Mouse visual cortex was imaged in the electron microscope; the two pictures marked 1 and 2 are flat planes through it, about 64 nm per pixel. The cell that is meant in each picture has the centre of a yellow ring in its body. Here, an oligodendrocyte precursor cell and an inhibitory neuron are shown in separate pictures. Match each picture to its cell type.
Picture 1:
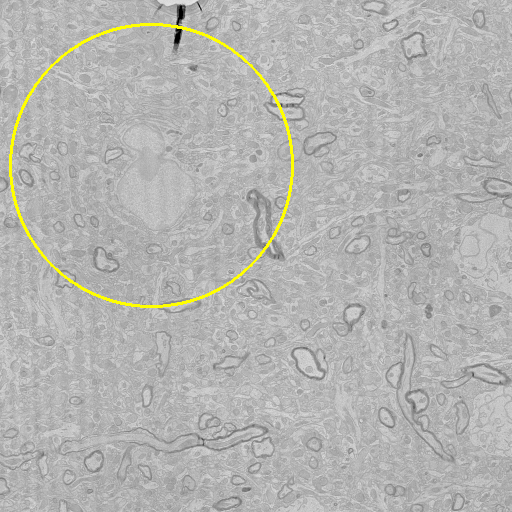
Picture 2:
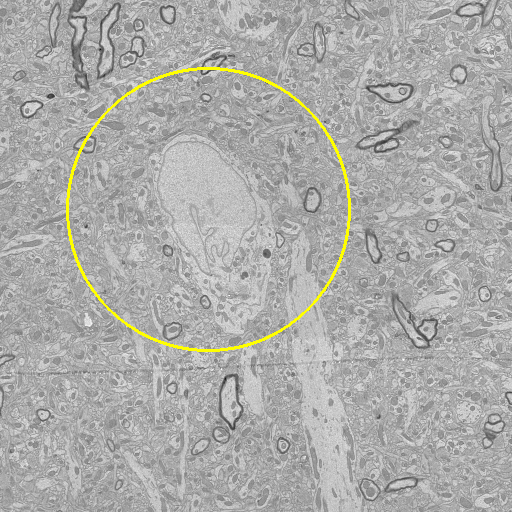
The cell in picture 1 is an oligodendrocyte precursor cell, and the one in picture 2 is an inhibitory neuron.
